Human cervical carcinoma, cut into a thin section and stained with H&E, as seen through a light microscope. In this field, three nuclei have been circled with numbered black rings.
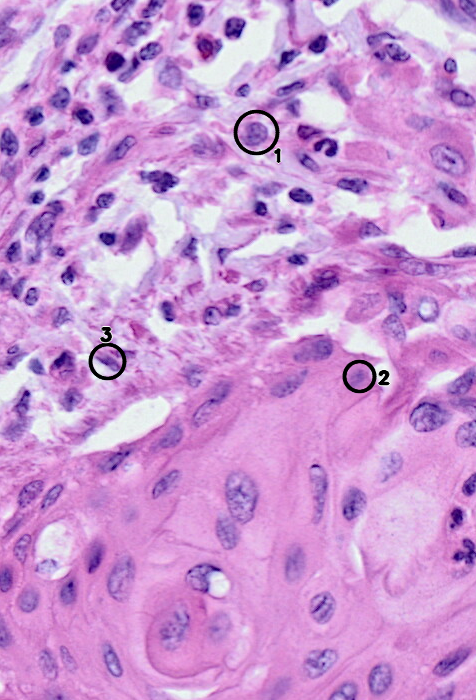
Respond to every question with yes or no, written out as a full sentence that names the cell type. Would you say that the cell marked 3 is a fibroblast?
Yes, the one with the number 3 is a fibroblast.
